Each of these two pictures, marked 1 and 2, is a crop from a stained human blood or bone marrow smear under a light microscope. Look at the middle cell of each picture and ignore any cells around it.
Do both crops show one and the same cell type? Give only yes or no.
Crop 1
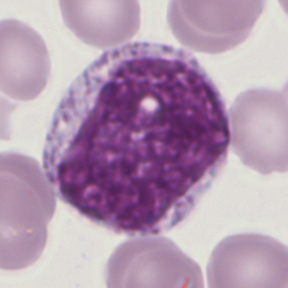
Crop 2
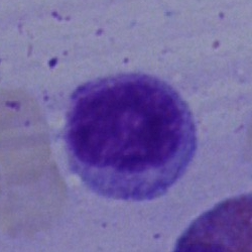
yes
